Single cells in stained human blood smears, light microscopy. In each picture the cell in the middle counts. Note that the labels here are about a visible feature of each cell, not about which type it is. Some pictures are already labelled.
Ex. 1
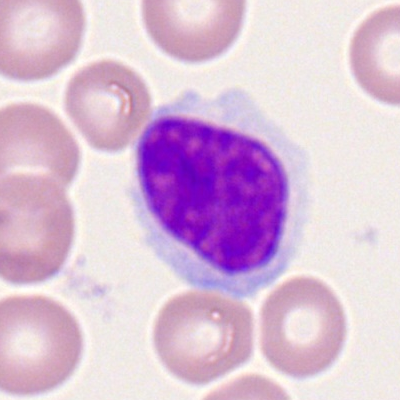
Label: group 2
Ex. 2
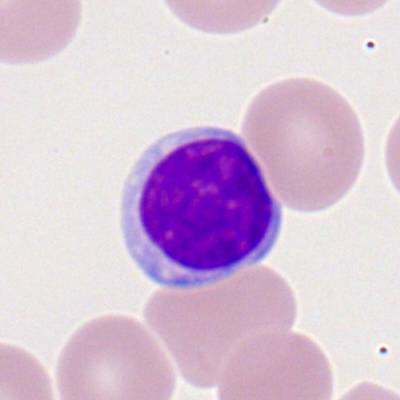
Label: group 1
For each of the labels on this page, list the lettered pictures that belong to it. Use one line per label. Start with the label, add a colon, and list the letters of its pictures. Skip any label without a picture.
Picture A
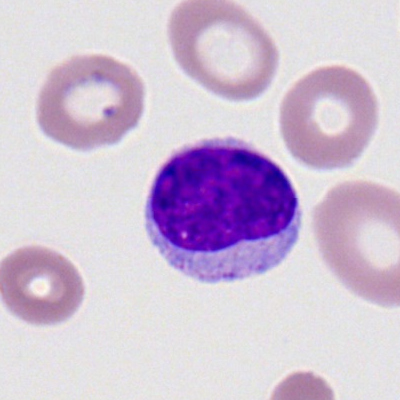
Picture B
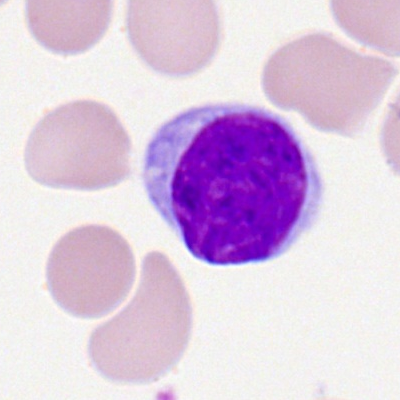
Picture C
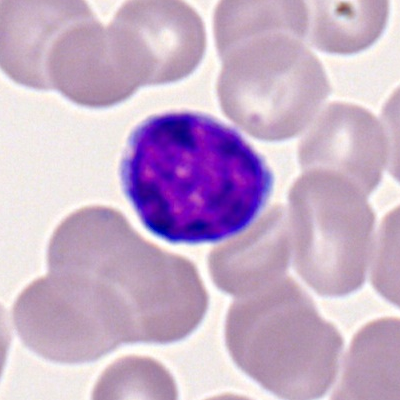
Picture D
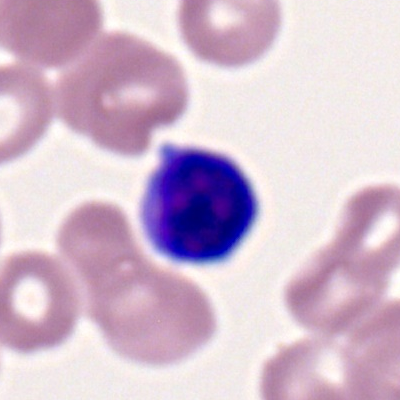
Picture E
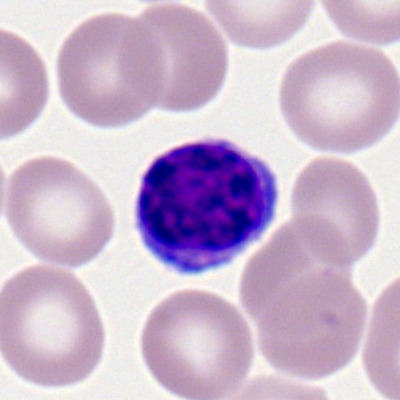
group 2: D
group 1: A, B, C, E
